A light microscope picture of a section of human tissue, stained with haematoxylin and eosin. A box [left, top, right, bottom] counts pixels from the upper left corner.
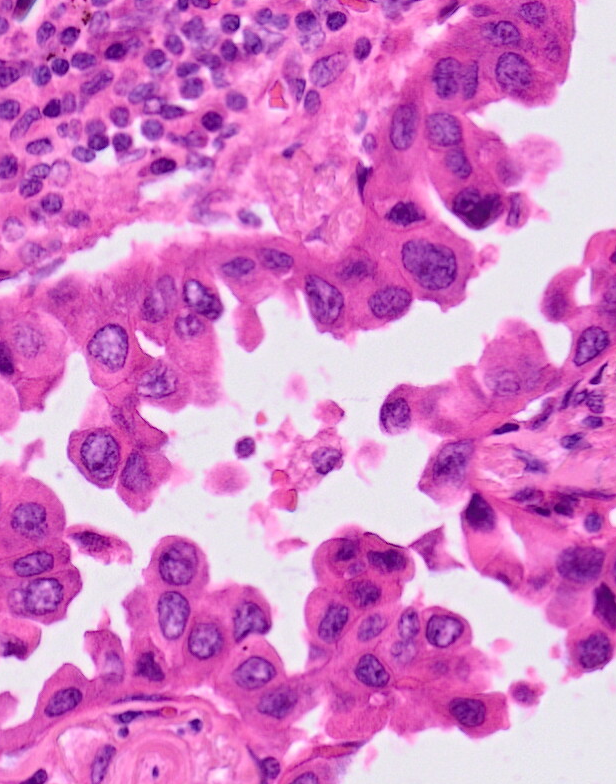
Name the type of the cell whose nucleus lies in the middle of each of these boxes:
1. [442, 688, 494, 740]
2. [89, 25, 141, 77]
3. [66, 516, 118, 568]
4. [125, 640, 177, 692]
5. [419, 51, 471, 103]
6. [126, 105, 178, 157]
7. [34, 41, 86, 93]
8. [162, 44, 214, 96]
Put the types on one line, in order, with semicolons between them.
carcinoma cell; plasma cell; carcinoma cell; carcinoma cell; carcinoma cell; lymphocyte; lymphocyte; lymphocyte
